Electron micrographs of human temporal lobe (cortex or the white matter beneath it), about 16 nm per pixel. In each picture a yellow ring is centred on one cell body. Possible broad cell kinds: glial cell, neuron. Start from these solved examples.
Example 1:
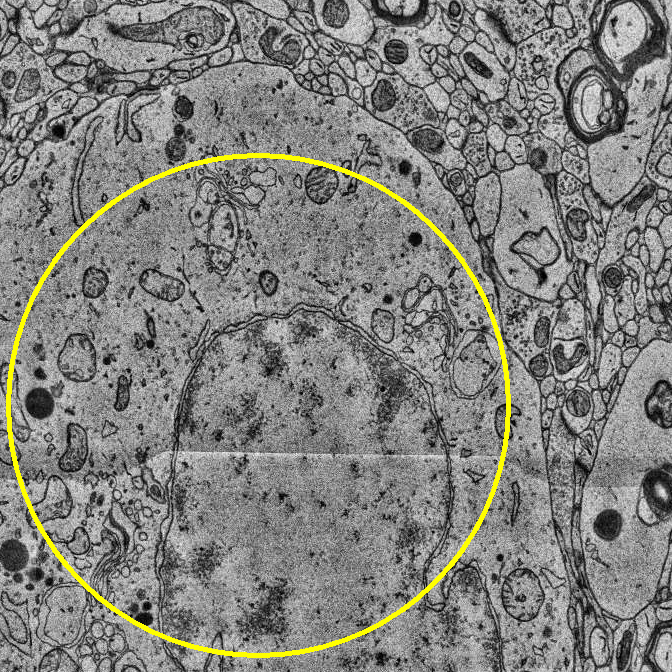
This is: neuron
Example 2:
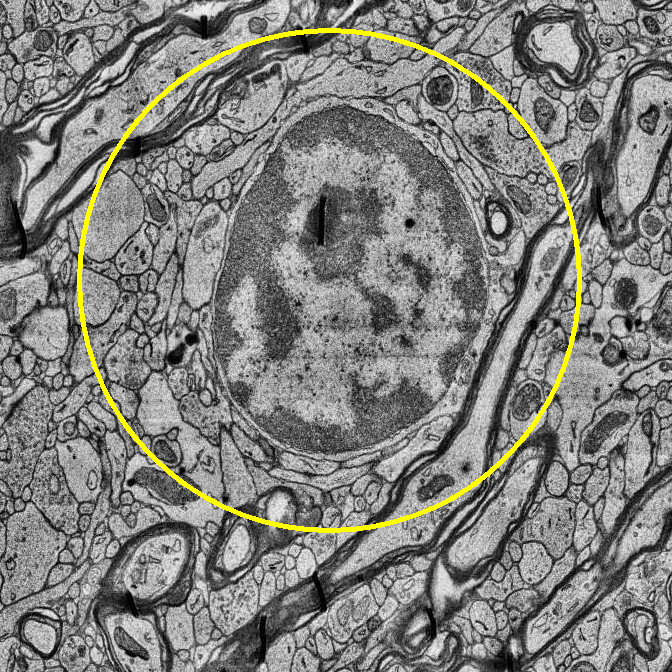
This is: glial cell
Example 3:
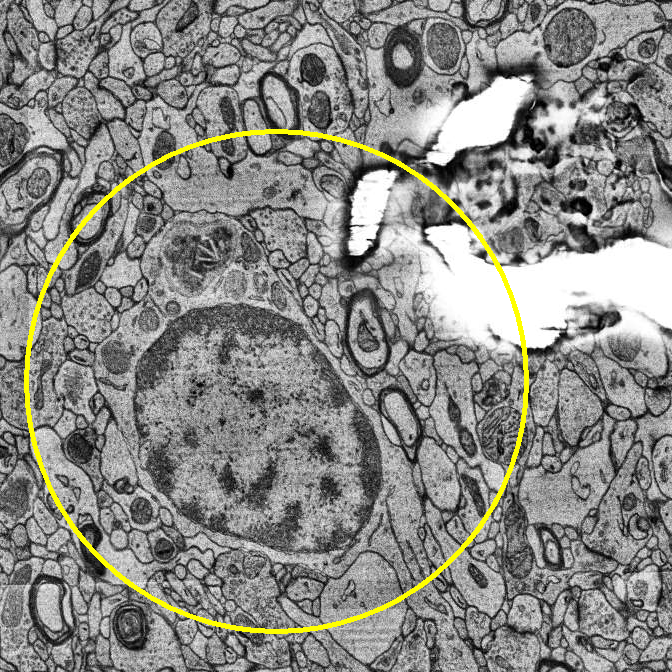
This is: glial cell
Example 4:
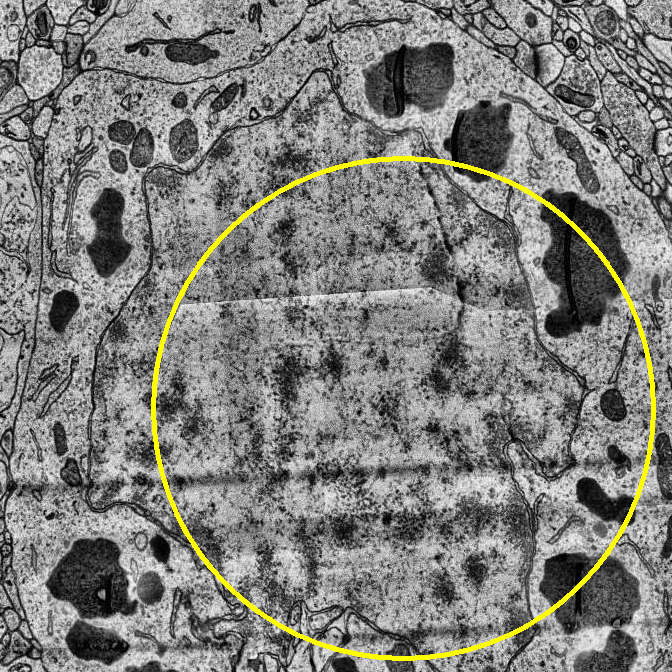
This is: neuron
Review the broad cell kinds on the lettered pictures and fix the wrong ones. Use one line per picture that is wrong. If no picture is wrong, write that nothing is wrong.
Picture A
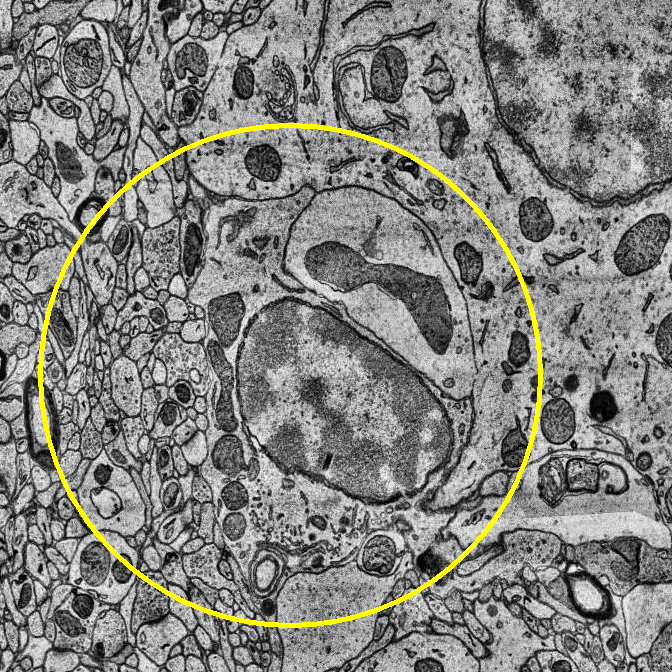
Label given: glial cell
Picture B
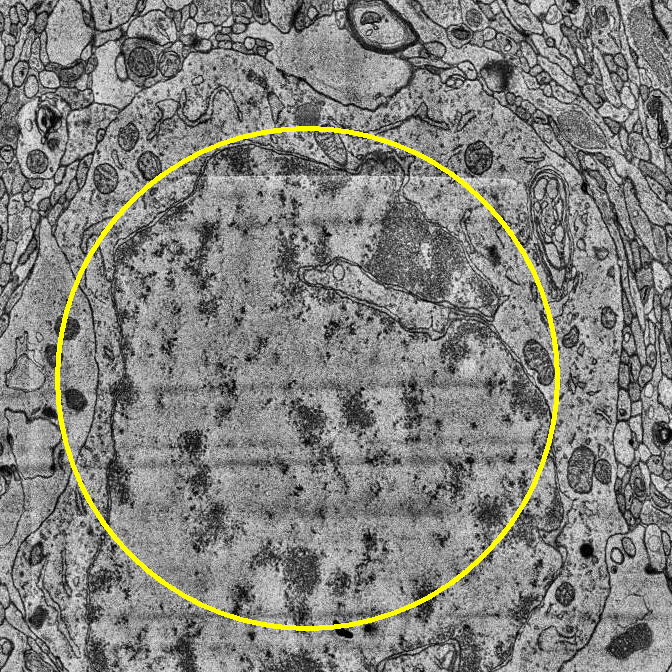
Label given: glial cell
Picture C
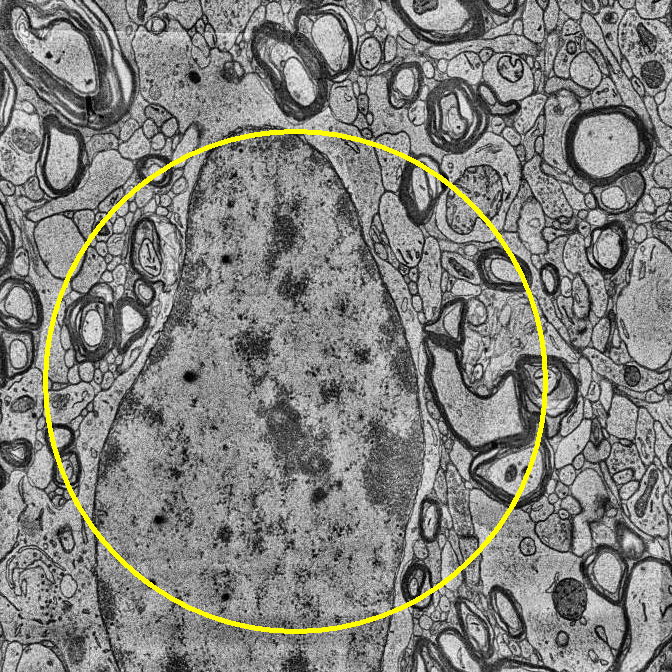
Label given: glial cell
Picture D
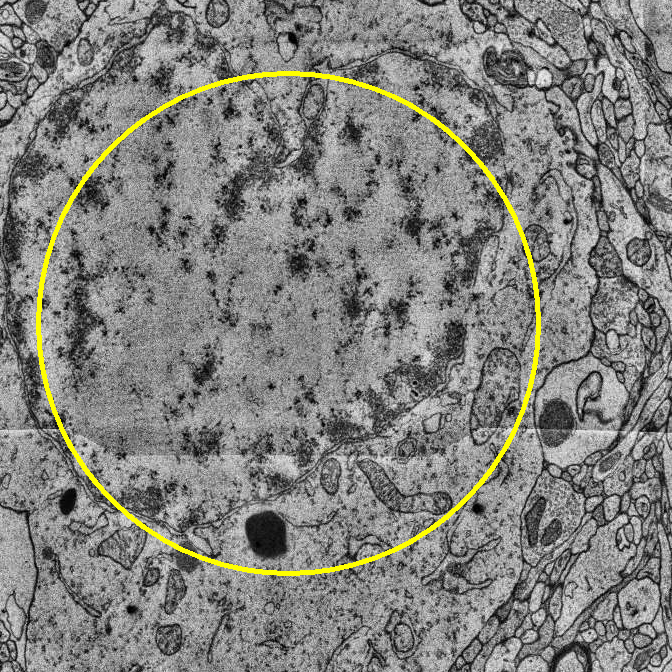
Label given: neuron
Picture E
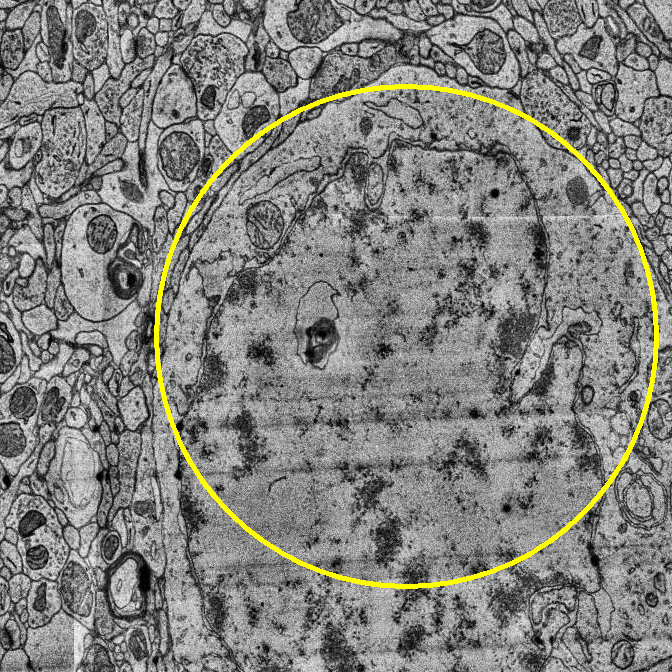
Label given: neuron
B should be neuron, not glial cell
